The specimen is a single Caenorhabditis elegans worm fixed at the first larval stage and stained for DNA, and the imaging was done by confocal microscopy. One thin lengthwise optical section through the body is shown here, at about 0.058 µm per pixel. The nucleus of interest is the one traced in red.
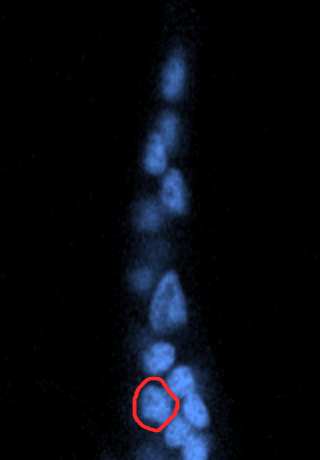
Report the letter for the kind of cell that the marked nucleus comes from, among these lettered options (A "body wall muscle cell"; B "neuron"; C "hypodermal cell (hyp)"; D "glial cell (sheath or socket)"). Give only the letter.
A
